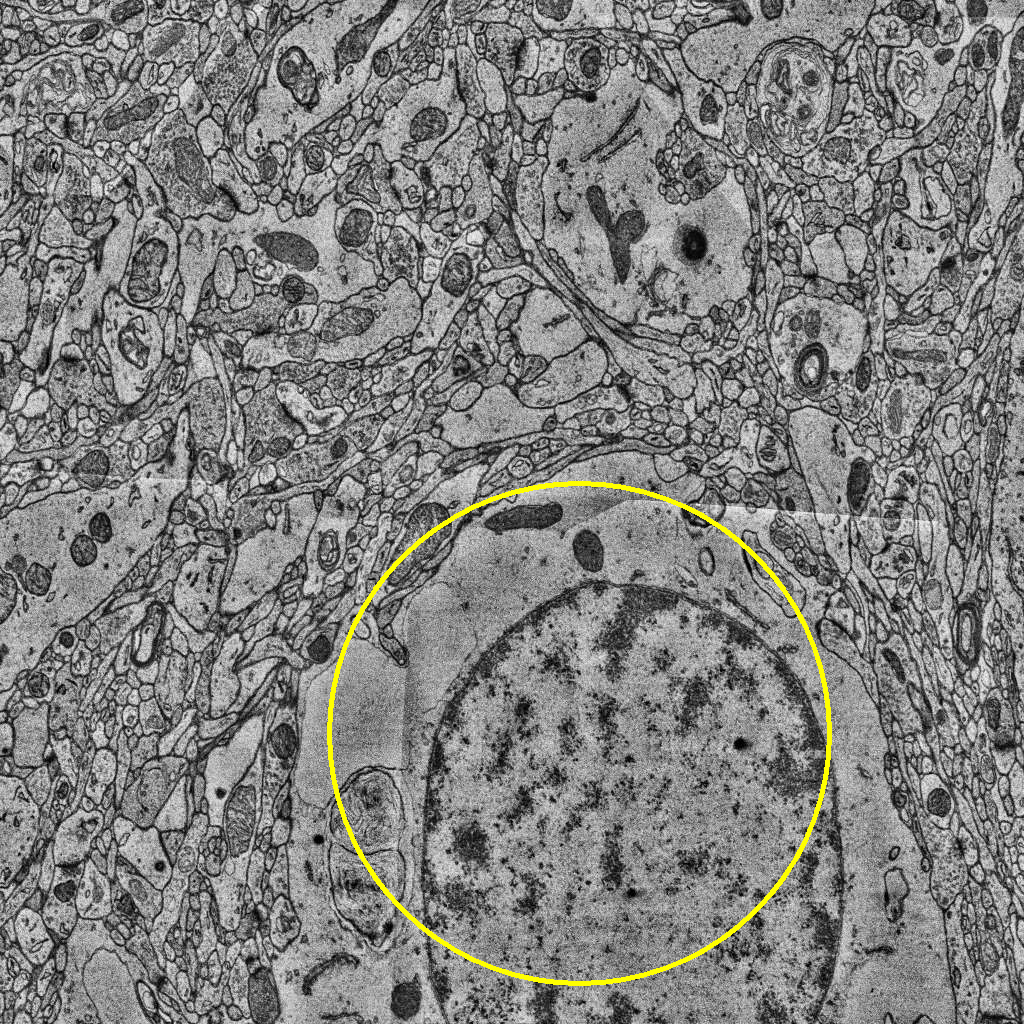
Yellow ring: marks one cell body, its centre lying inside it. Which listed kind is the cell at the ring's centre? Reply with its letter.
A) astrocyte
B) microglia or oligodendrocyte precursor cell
A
